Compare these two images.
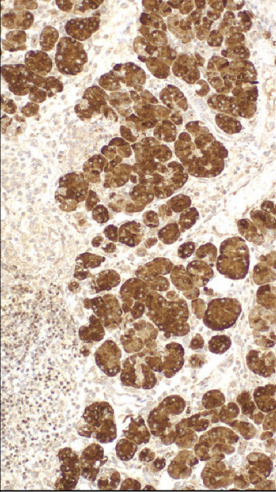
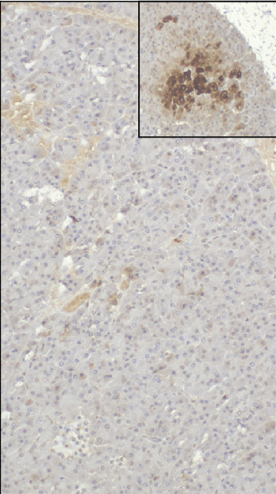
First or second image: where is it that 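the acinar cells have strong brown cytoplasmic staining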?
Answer: The first image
